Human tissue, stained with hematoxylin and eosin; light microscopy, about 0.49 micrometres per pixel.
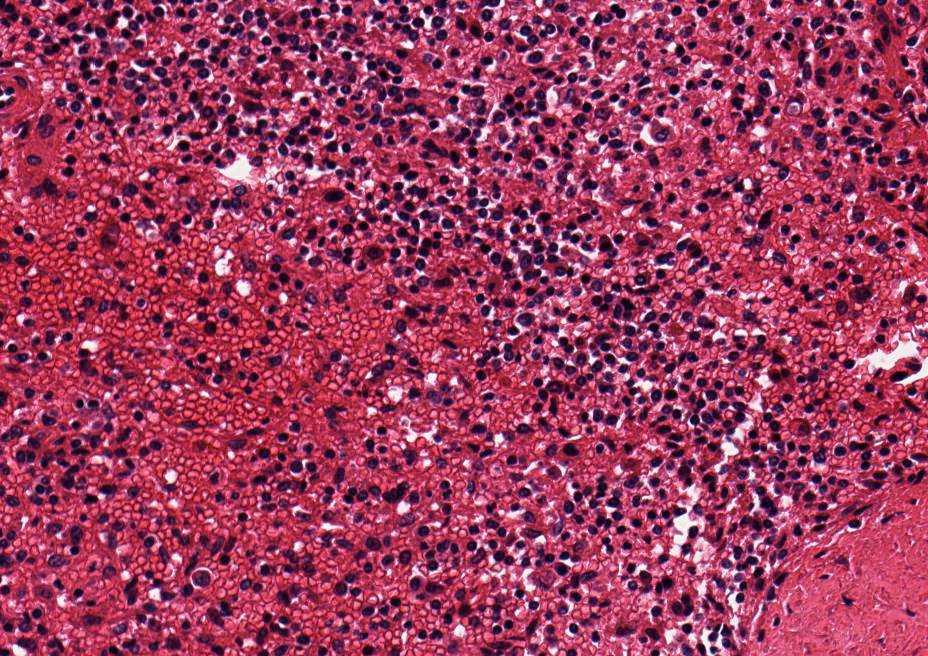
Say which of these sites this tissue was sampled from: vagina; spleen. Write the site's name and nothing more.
spleen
